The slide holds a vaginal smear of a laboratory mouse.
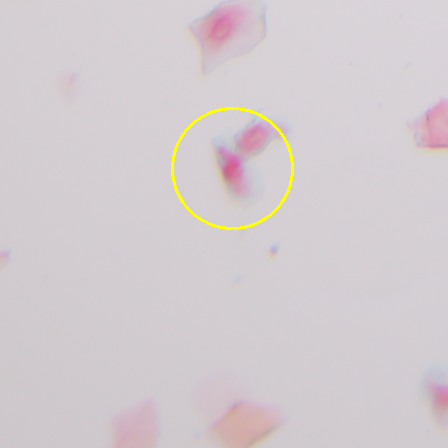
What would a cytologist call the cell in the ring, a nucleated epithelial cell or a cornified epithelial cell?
A cytologist would call it a nucleated epithelial cell.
